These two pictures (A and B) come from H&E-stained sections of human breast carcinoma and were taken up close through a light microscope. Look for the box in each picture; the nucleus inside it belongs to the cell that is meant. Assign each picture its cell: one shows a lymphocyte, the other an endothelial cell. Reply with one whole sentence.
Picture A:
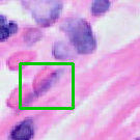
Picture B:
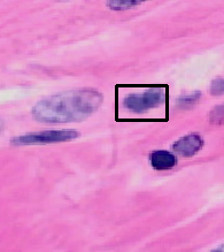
The cell in picture A is an endothelial cell, and the one in picture B is a lymphocyte.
